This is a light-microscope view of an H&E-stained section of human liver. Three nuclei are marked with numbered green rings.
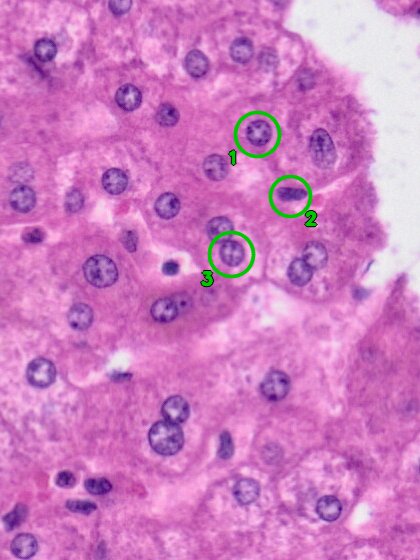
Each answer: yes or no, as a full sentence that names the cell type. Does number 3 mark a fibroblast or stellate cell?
No, the cell bearing number 3 is not a fibroblast or stellate cell but a hepatocyte.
